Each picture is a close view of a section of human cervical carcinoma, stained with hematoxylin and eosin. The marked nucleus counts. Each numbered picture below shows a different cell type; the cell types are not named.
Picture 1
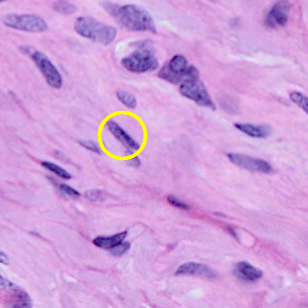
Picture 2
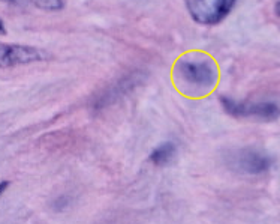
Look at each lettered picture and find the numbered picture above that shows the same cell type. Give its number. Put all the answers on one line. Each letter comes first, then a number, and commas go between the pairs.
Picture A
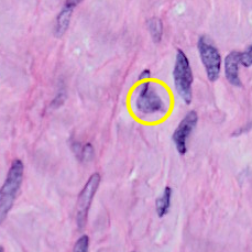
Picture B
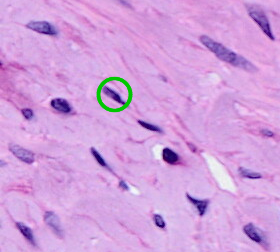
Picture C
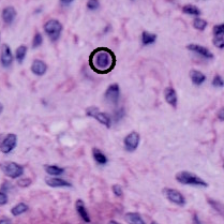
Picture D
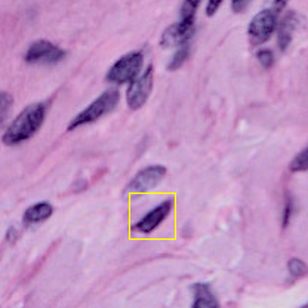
A 1, B 1, C 2, D 1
